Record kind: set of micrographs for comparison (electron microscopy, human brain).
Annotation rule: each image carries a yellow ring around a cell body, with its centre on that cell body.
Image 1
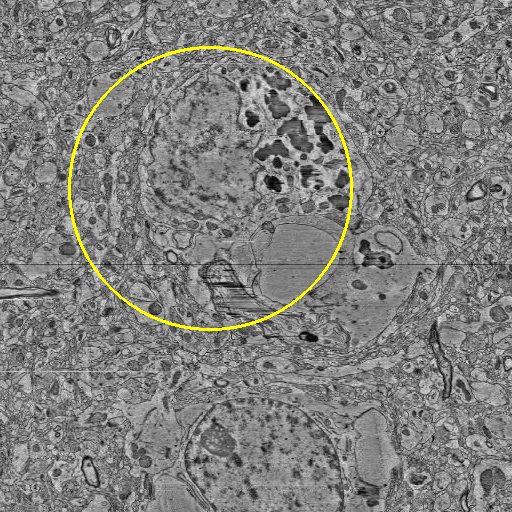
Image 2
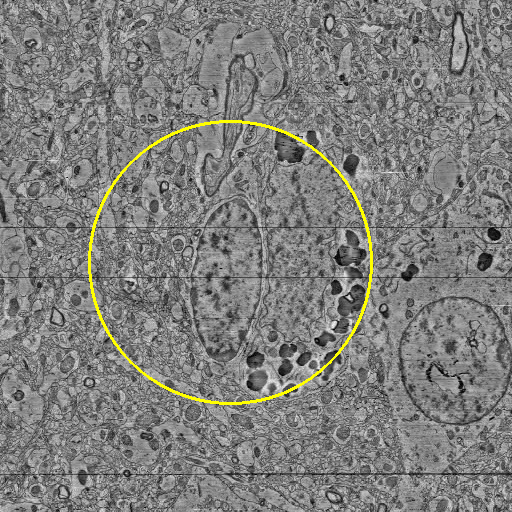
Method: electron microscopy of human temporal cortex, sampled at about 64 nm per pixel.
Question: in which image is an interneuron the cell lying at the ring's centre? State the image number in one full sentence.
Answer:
In image 1, the ring is centred on the cell in question.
